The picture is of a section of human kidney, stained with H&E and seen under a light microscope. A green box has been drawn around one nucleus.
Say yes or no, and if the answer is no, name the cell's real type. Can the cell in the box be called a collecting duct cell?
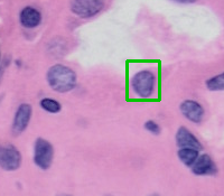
No, it is a loop of Henle or distal tubule cell.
